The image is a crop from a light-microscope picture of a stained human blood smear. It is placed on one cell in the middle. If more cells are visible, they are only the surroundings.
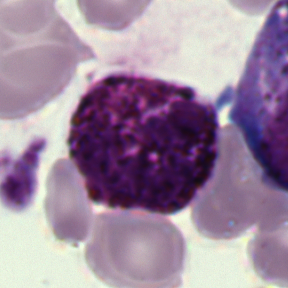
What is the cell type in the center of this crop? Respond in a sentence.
The cell at the centre of the field is a basophil.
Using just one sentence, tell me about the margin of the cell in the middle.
Nothing juts out from the margin, which is smooth throughout.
